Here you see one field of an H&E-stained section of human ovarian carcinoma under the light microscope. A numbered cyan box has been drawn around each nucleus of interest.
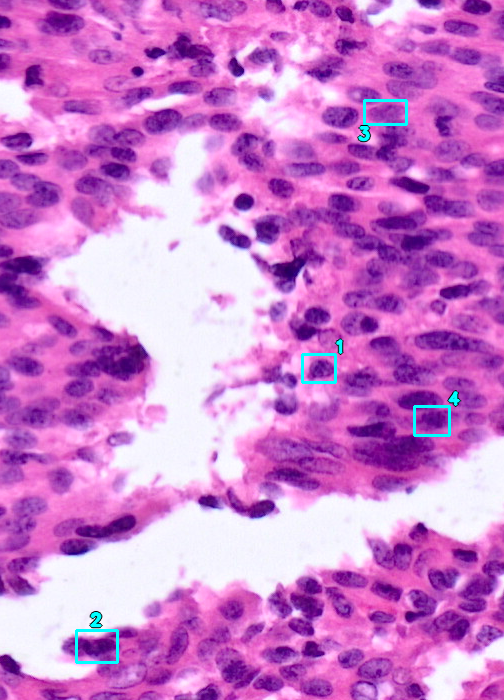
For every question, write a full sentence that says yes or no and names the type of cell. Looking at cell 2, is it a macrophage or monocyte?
No, the cell bearing the number 2 is a carcinoma cell, not a macrophage or monocyte.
